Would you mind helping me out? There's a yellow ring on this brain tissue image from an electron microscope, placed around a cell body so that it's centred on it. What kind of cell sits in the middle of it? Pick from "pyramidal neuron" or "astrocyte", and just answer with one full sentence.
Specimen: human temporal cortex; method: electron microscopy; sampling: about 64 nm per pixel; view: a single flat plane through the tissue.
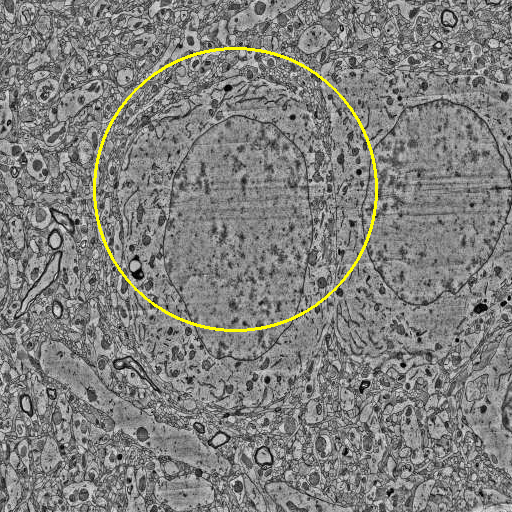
What sits in the middle of that yellow ring is a pyramidal neuron, from your choices.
